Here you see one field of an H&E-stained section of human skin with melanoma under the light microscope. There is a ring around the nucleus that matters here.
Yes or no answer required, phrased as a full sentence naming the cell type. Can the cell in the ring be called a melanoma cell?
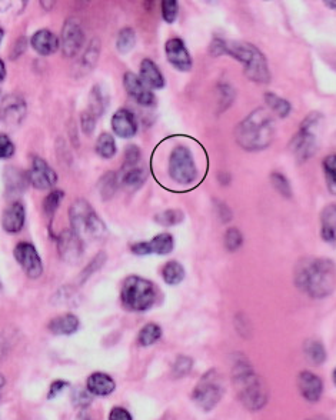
No, the cell in the ring is a lymphocyte rather than a melanoma cell in this section.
